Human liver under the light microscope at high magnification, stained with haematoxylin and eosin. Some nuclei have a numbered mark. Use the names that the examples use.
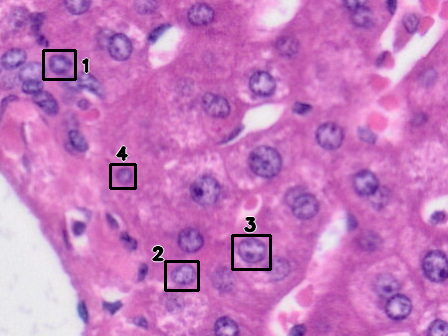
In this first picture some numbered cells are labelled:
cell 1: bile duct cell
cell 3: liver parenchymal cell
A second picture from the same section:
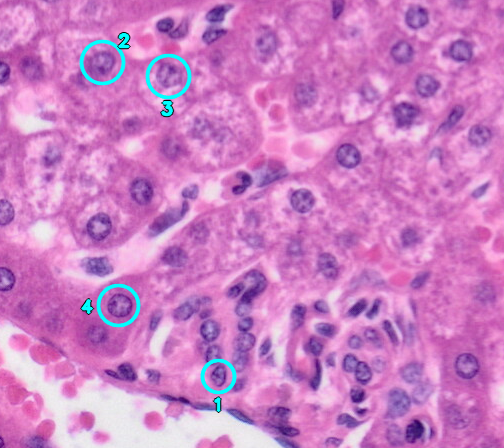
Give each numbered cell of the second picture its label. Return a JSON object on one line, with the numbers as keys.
{"1": "bile duct cell", "2": "liver parenchymal cell", "3": "liver parenchymal cell", "4": "liver parenchymal cell"}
